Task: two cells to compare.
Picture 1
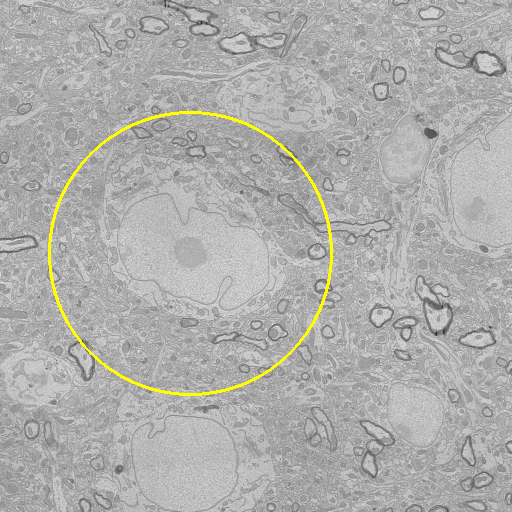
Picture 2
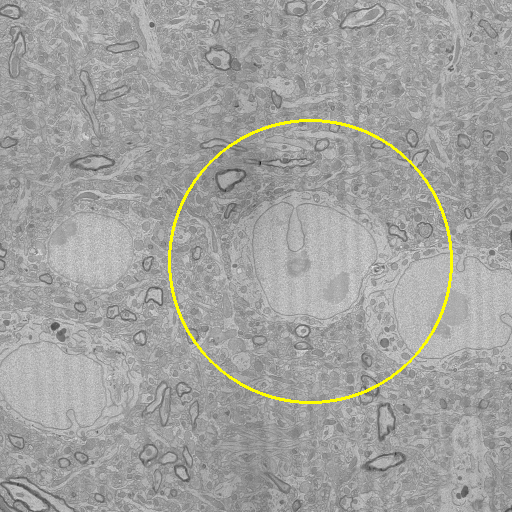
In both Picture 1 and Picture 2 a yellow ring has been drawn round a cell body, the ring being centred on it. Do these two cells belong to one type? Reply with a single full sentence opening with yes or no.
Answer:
Yes, the two cells at the ring centres in Picture 1 and Picture 2 share one type.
